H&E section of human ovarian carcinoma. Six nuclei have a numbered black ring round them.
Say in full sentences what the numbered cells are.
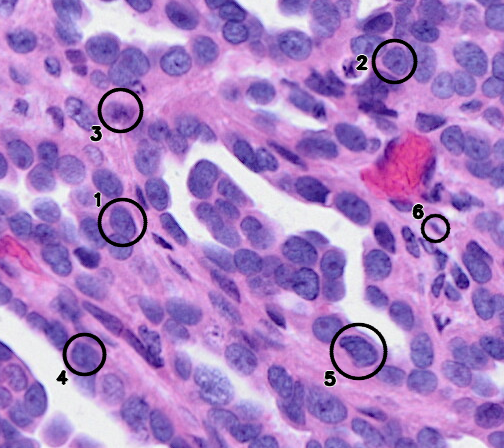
Cell 1 is a carcinoma cell, cell 2 is a carcinoma cell, cell 3 is a fibroblast, cell 4 is a carcinoma cell, cell 5 is a carcinoma cell and cell 6 is a fibroblast.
